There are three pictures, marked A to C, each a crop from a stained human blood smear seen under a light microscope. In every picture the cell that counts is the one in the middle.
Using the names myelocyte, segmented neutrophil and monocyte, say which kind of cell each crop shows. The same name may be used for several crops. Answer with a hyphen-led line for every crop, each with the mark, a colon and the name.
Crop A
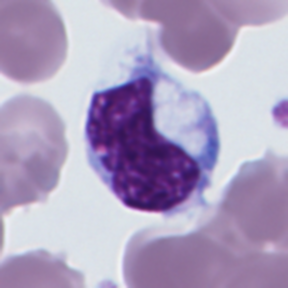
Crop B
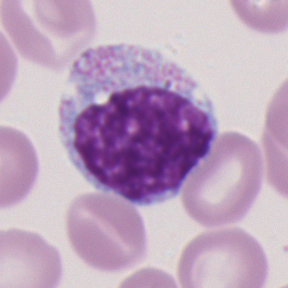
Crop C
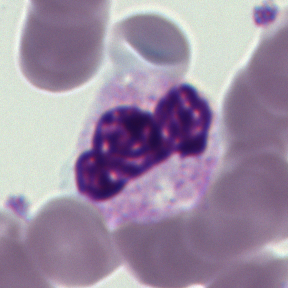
- A: monocyte
- B: myelocyte
- C: segmented neutrophil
